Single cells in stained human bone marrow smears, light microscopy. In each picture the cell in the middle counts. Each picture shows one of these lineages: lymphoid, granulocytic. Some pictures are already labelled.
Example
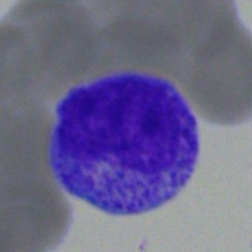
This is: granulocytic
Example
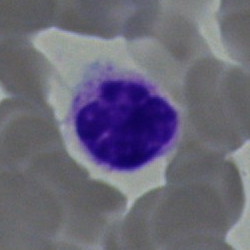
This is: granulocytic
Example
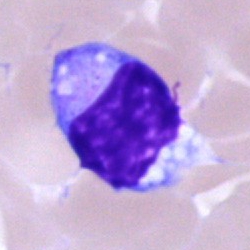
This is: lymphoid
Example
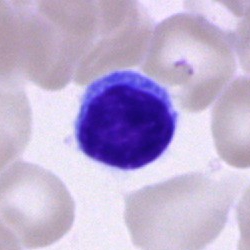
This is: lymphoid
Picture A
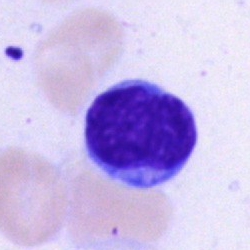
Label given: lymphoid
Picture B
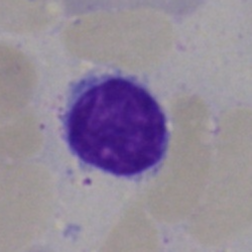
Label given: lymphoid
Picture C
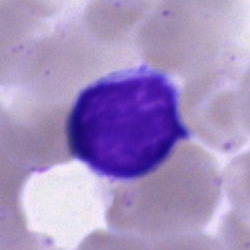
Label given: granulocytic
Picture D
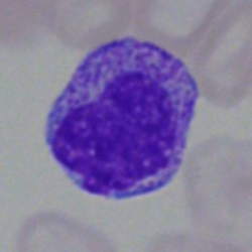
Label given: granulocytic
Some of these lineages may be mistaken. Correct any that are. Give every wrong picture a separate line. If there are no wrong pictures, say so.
C: lymphoid, not granulocytic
